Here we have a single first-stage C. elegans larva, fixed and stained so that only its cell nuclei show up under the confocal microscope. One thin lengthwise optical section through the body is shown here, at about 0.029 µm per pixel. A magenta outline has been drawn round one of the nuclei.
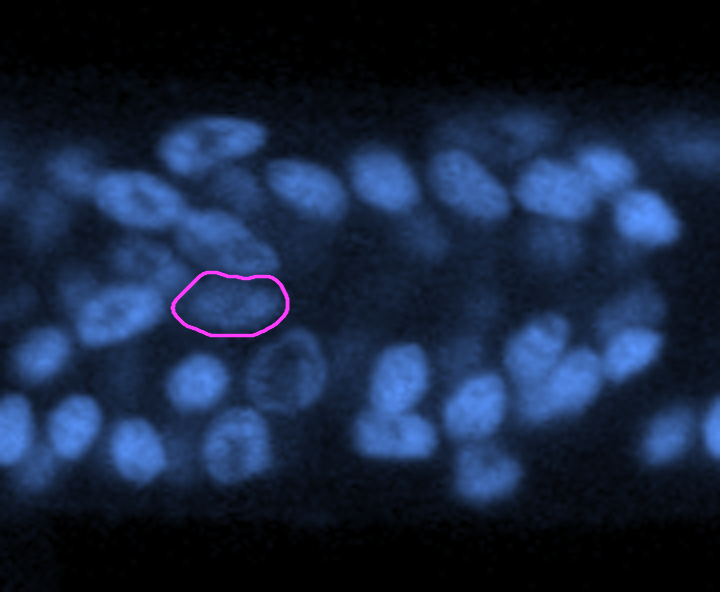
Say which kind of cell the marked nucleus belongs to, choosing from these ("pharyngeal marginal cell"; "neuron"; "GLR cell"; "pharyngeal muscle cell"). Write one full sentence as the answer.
The marked nucleus belongs to a pharyngeal marginal cell.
